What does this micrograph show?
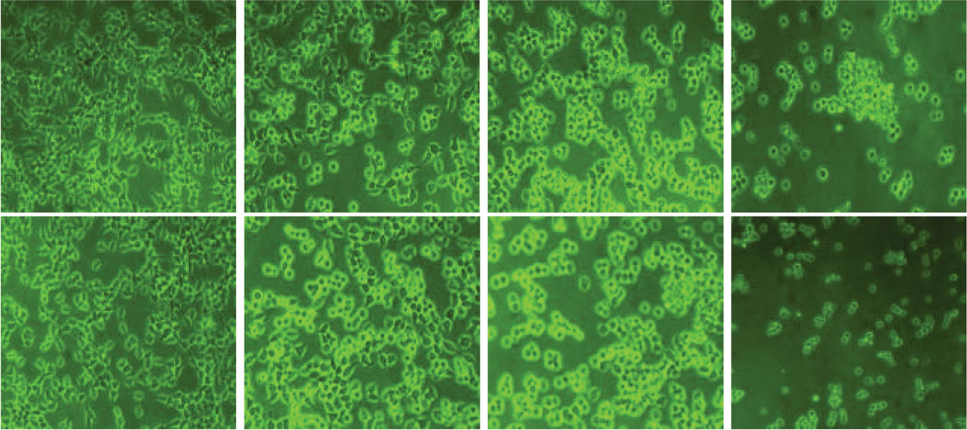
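These are cultured cells growing as an adherent layer, photographed in phase contrast and shown in two rows of four images. In the left-hand images the cells form a dense, nearly confluent sheet of flattened, polygonal and spindle-shaped cells that lie close together with little free space between them. Moving to the right, the layer becomes less crowded and more of the cells are rounded and bright-edged, some of them in small clusters. In the right-most images only scattered, small, rounded, refractile cells and a few loose clumps remain, with large empty areas of background between them.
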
